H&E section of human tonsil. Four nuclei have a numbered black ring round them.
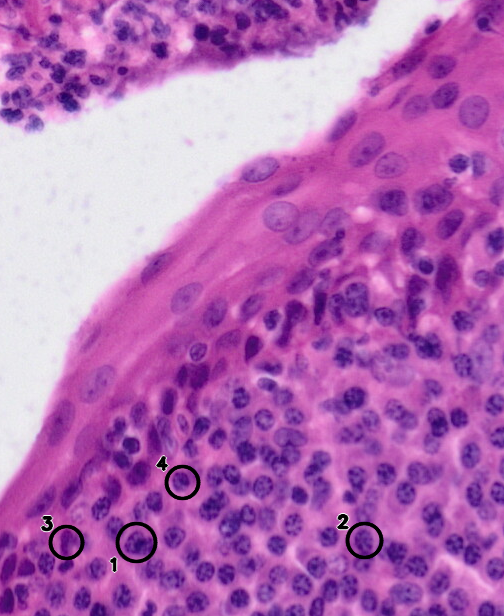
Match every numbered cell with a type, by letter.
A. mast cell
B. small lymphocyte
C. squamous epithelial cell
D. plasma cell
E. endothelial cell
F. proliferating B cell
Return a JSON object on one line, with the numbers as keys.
{"1": "D", "2": "D", "3": "C", "4": "D"}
